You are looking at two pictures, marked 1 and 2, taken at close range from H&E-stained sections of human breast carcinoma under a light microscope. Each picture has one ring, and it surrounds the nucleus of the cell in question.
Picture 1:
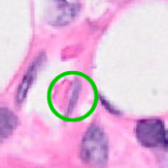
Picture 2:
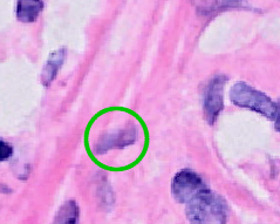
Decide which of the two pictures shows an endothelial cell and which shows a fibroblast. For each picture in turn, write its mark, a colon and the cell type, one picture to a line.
1: endothelial cell
2: fibroblast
